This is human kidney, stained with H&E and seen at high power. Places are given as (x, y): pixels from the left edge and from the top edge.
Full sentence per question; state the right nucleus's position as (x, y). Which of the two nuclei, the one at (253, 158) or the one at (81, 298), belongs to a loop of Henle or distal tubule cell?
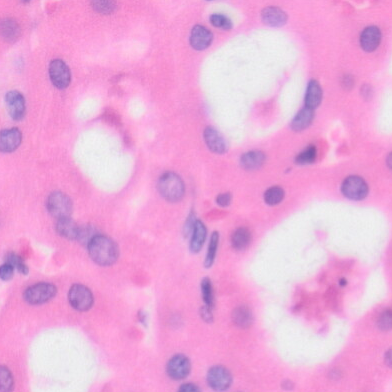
Among the two nuclei, the one lying at (253, 158) is part of a loop of Henle or distal tubule cell.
